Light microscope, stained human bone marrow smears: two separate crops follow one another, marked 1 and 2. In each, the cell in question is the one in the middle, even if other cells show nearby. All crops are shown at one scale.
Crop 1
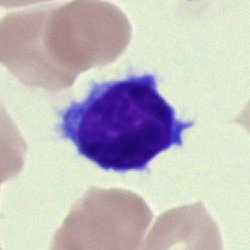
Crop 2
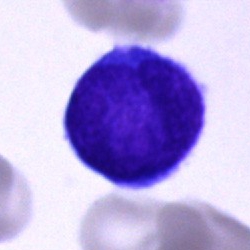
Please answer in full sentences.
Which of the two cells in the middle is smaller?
Crop 1 holds the smaller cell, since the cell in crop 2 covers about 2 times as much area.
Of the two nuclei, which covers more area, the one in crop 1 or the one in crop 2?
It is the nucleus in crop 2, about 2 times as large in area as the one in crop 1.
